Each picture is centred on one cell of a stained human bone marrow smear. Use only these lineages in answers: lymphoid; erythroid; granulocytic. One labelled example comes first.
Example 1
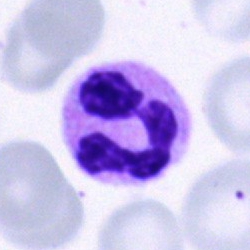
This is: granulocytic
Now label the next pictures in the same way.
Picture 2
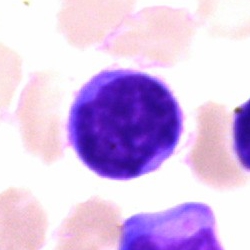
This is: lymphoid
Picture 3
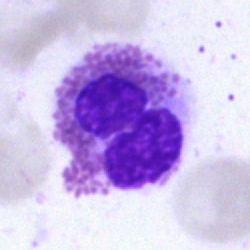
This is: granulocytic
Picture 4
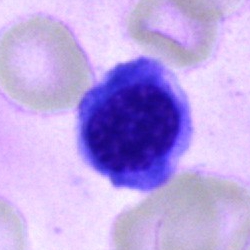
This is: erythroid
